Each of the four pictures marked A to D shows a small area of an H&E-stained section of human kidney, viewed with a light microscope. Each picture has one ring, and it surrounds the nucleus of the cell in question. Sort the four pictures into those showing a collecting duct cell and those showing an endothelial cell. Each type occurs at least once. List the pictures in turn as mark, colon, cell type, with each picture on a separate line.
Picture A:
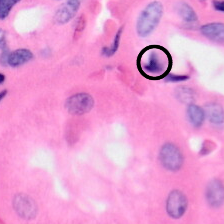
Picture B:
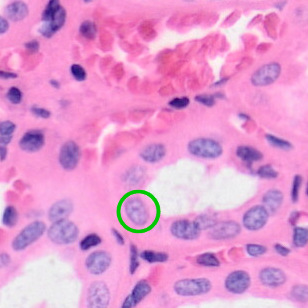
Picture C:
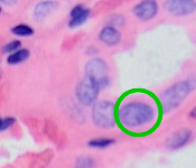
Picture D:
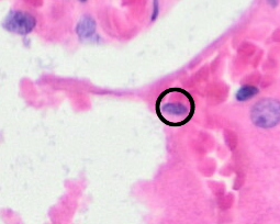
A: collecting duct cell
B: collecting duct cell
C: collecting duct cell
D: endothelial cell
